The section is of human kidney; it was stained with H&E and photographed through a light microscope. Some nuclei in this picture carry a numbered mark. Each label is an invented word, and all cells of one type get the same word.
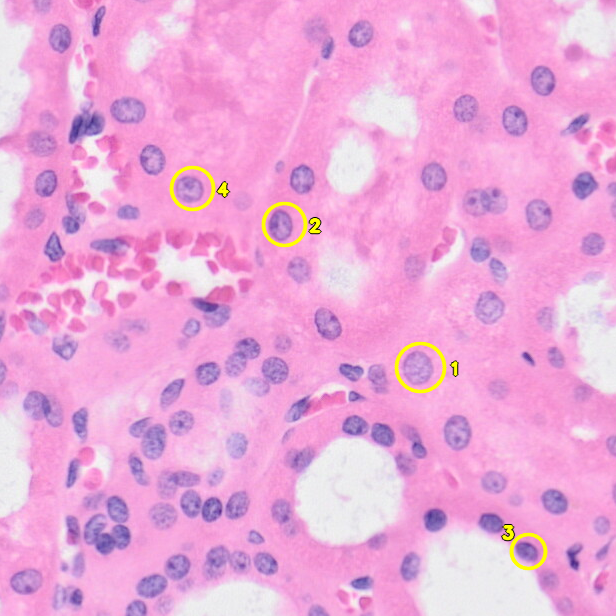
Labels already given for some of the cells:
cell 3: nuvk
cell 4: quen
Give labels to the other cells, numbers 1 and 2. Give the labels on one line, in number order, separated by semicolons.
quen; quen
